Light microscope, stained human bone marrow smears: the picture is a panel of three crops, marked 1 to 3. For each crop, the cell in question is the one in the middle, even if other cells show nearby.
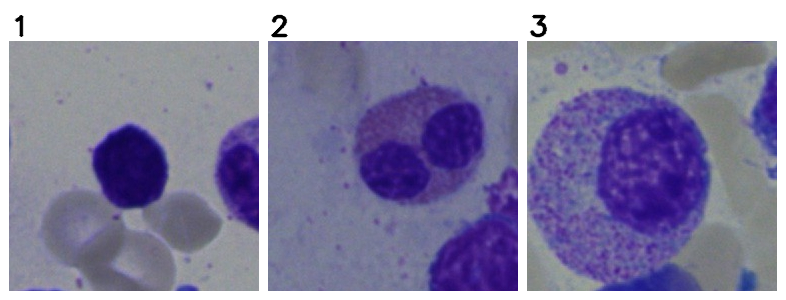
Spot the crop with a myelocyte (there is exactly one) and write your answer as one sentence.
Identified crop: 3, the one that shows a myelocyte.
